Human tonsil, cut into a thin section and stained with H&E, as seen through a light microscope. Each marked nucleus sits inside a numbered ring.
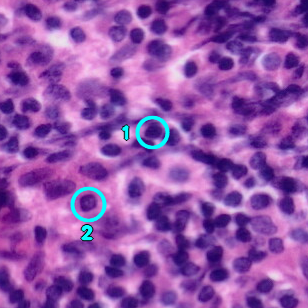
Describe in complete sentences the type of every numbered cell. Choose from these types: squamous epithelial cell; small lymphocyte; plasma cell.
Cell 1 is a small lymphocyte and cell 2 is a plasma cell.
